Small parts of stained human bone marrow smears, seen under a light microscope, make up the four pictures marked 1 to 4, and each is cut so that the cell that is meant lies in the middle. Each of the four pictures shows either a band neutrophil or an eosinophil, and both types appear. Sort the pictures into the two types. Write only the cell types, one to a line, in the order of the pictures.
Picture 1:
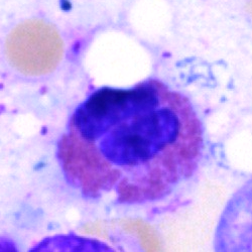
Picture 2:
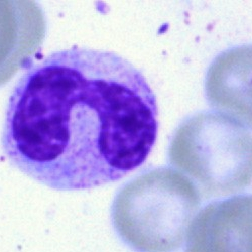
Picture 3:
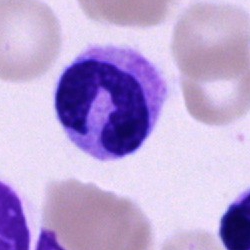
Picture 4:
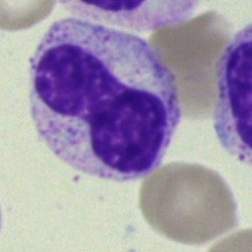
eosinophil
band neutrophil
band neutrophil
band neutrophil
